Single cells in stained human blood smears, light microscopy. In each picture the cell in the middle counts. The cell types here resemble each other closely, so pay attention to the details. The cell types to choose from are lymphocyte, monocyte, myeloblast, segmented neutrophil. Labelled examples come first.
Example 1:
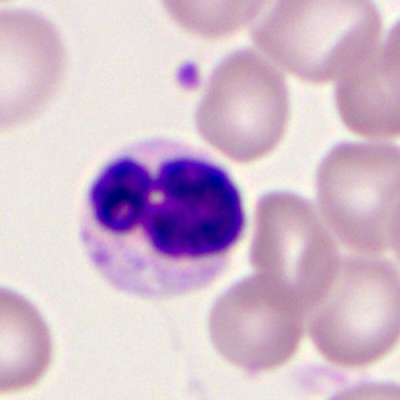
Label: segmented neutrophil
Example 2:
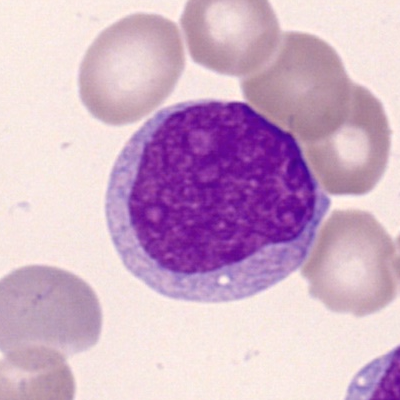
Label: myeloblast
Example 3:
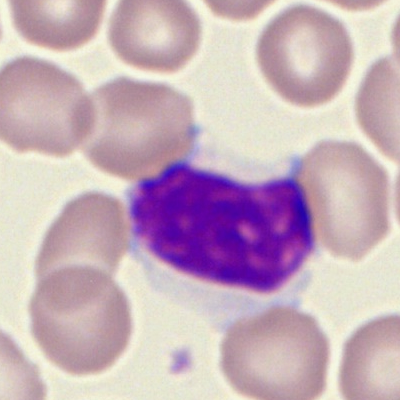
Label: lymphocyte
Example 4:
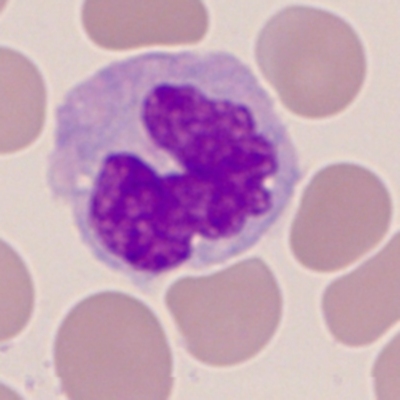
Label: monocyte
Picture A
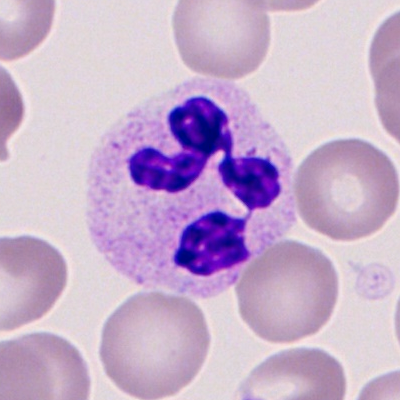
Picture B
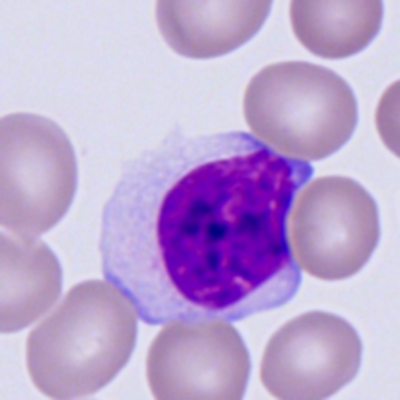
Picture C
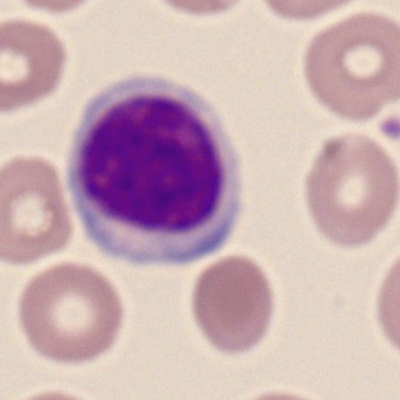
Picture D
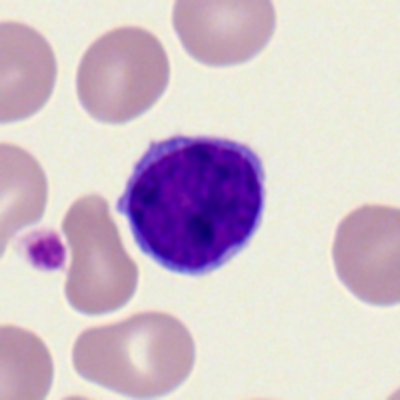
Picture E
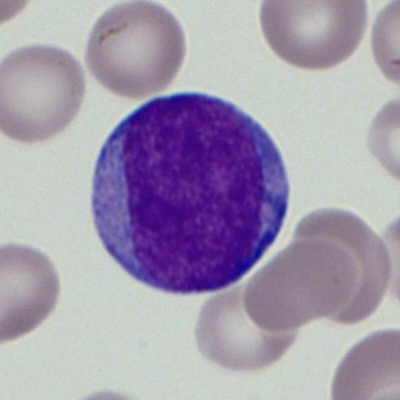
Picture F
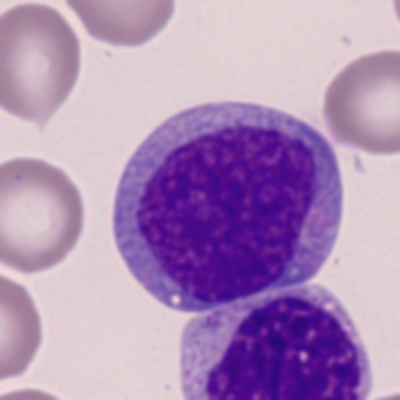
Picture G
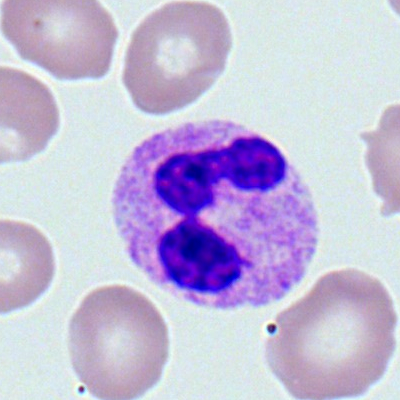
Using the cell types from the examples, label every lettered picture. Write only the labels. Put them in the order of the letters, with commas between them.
segmented neutrophil, lymphocyte, lymphocyte, lymphocyte, myeloblast, myeloblast, segmented neutrophil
